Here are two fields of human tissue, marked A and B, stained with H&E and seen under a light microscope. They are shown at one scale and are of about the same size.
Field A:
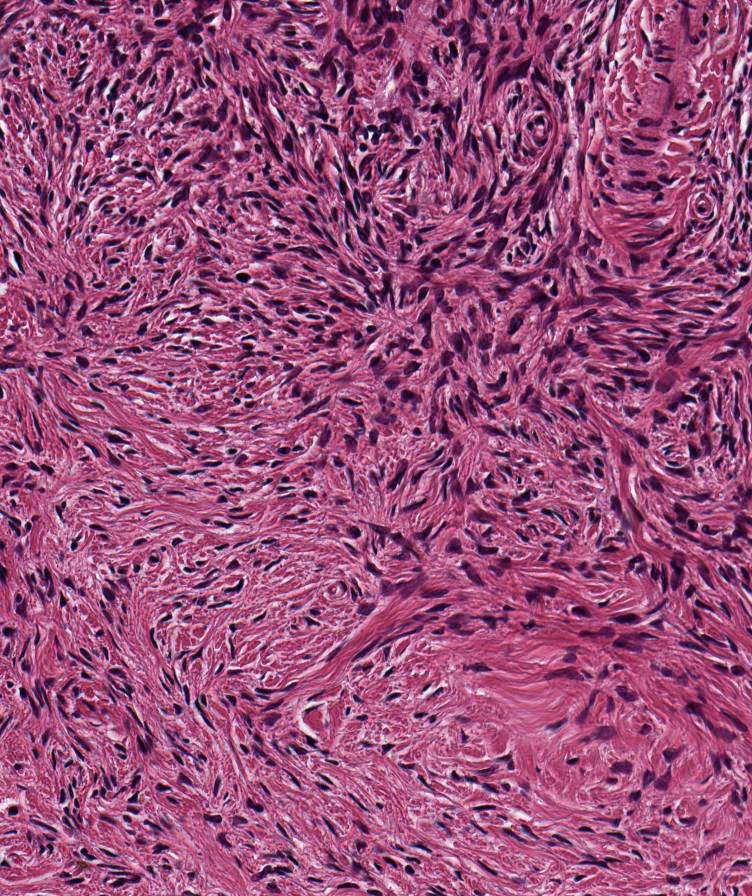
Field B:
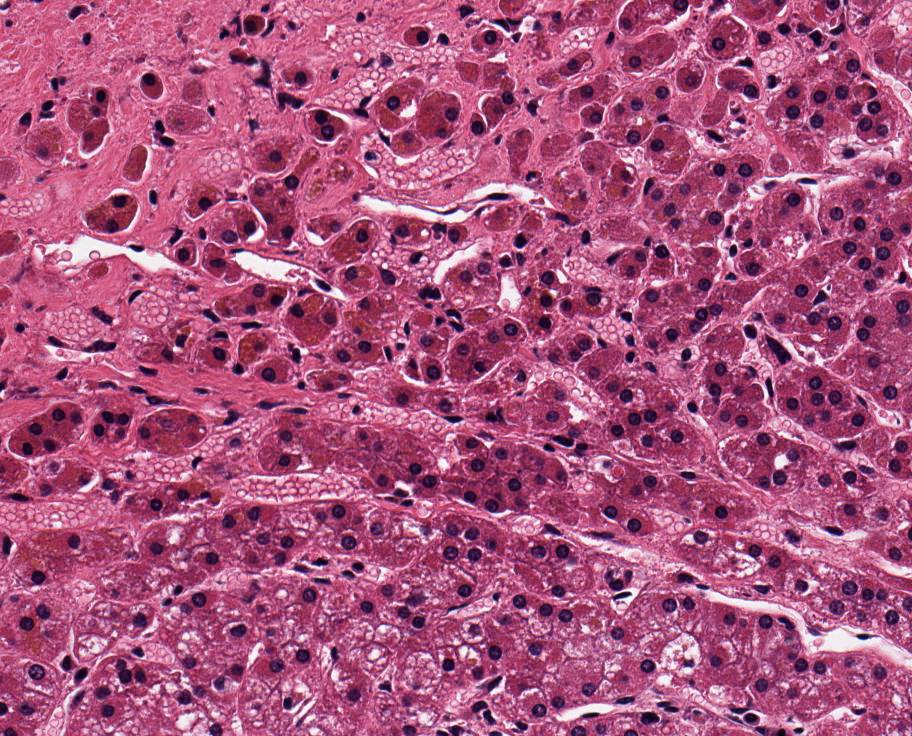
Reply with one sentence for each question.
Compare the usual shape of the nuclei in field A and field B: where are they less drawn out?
On the whole the nuclei of field B are rounder than those of field A.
